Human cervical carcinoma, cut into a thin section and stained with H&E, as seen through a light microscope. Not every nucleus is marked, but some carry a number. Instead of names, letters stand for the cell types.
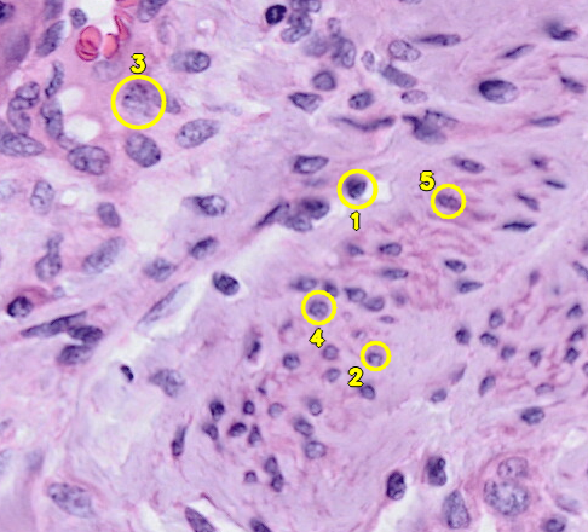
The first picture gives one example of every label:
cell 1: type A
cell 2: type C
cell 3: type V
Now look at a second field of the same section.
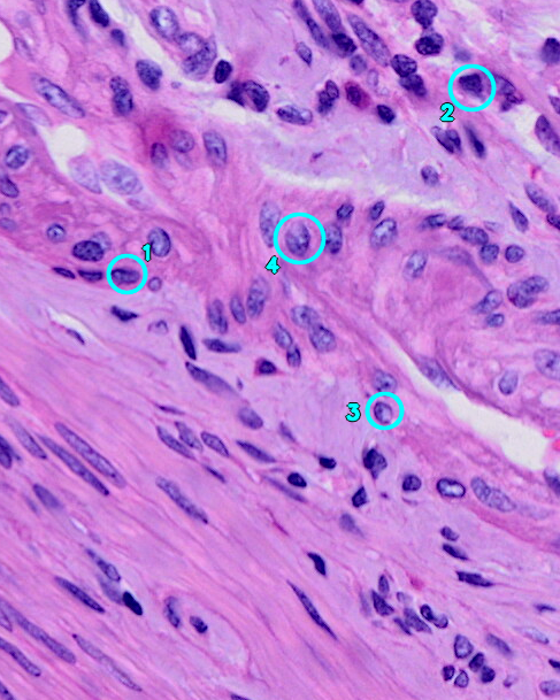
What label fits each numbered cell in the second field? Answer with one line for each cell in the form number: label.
1: type C
2: type A
3: type C
4: type C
